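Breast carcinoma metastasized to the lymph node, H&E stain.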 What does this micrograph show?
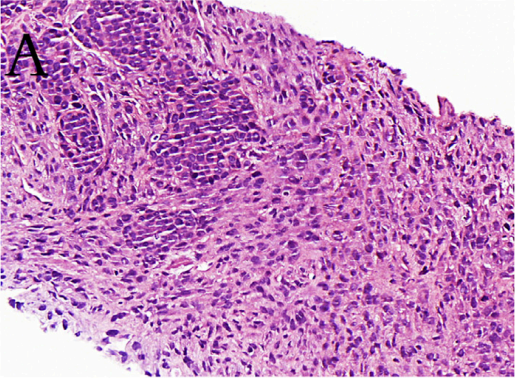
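The epithelioid cells form compact nests with crowded, dark purple nuclei and scant cytoplasm. Between and around these nests lie spindle-shaped and irregular cells with pink cytoplasm. Their nuclei vary in size and shape, some elongated and some plump.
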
